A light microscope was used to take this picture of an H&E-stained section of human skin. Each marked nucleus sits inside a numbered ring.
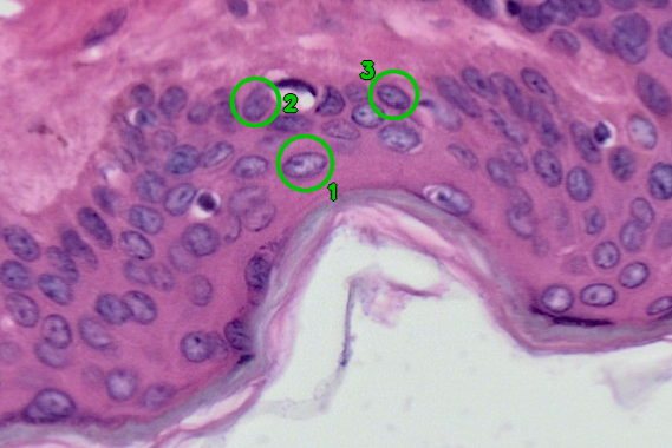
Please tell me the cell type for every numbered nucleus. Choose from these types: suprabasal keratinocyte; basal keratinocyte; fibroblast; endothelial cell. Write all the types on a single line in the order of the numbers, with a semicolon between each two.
suprabasal keratinocyte; basal keratinocyte; basal keratinocyte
